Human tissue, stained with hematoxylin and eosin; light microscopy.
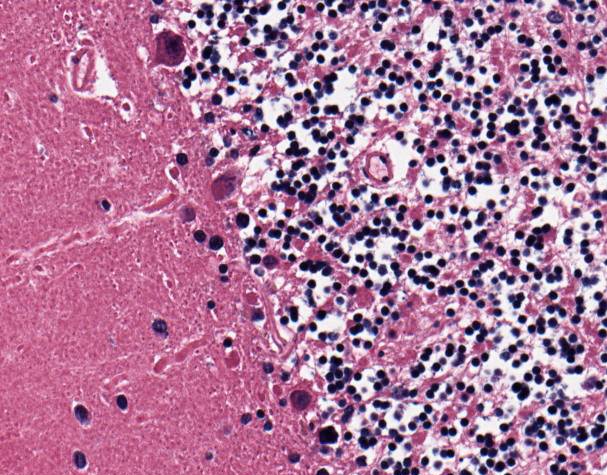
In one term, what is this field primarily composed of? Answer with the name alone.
granular layer of the cerebellum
